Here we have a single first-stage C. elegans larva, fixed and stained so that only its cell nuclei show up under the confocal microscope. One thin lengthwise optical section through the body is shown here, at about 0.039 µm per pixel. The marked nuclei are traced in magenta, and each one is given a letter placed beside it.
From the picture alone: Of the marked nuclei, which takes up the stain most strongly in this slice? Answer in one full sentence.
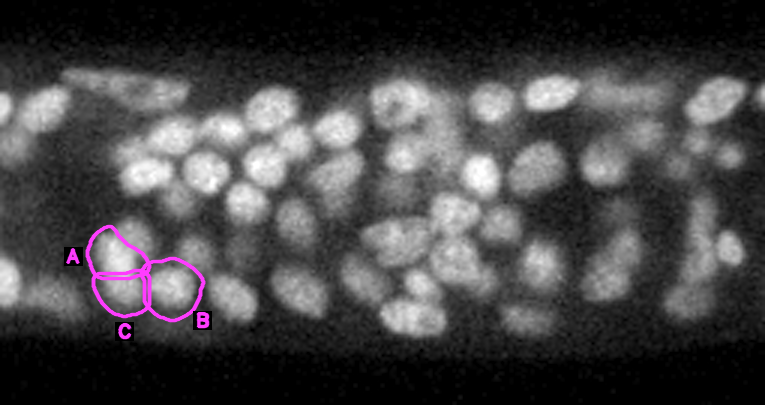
Of the marked nuclei, A takes up the stain most strongly.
